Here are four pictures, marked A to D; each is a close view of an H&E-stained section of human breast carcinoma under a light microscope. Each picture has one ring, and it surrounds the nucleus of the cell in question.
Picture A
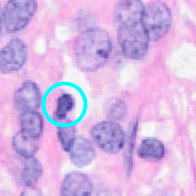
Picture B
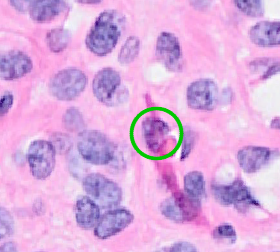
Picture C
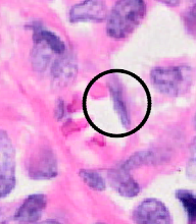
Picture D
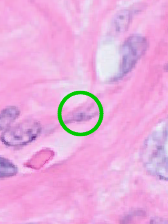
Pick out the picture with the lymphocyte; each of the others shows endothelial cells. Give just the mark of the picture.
A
